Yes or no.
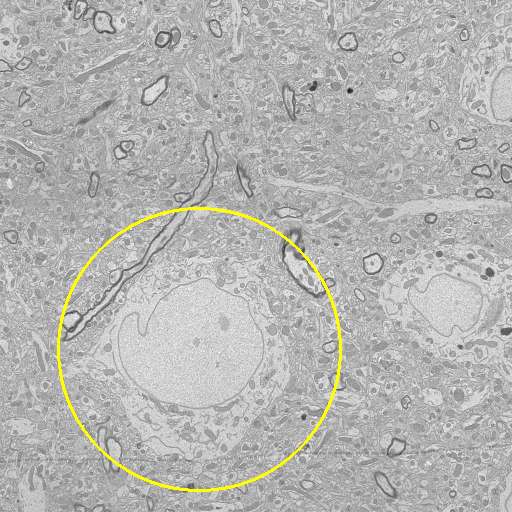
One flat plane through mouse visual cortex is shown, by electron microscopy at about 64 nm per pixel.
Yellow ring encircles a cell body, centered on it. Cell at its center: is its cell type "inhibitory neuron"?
no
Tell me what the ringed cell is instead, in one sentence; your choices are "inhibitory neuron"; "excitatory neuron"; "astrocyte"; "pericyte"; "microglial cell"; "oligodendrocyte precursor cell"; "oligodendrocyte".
Instead, the cell inside the ring is an excitatory neuron.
